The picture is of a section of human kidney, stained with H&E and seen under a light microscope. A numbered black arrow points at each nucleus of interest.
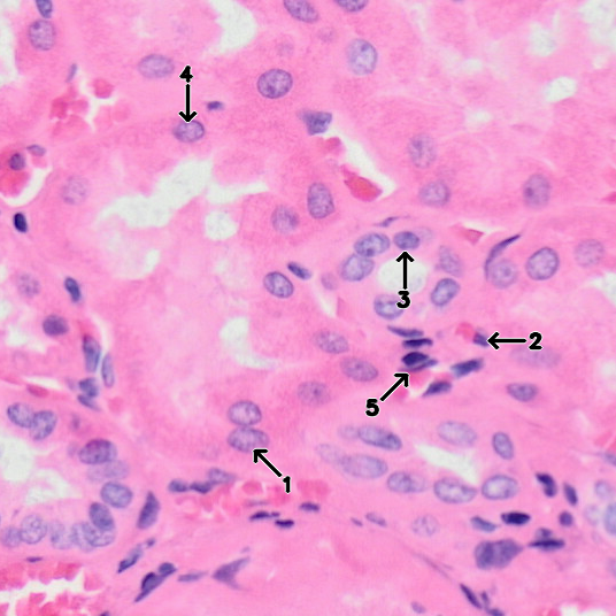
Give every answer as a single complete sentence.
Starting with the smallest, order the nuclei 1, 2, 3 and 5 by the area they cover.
Smallest first, the nuclei run 2, 3, 5, 1.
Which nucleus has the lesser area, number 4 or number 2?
The smaller nucleus is 2, and 4 covers roughly 3 times its area.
